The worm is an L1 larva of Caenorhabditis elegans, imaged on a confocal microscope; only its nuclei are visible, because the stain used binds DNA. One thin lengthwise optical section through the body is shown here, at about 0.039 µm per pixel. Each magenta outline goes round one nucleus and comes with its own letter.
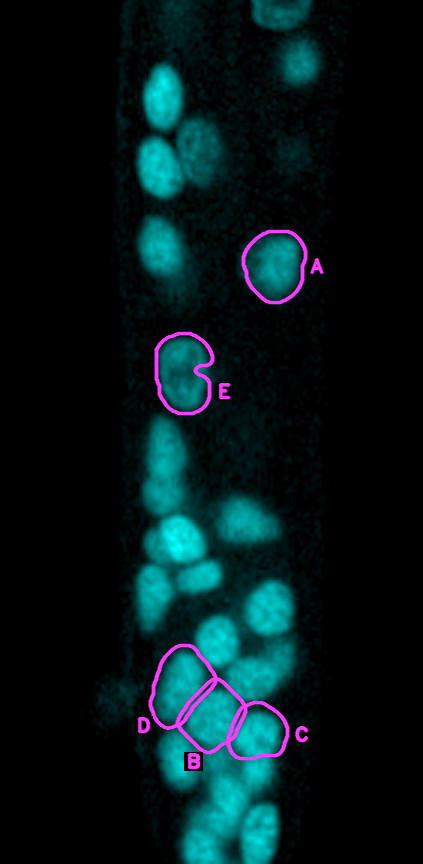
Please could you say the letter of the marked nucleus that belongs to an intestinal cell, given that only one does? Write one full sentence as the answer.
The one from an intestinal cell is E.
